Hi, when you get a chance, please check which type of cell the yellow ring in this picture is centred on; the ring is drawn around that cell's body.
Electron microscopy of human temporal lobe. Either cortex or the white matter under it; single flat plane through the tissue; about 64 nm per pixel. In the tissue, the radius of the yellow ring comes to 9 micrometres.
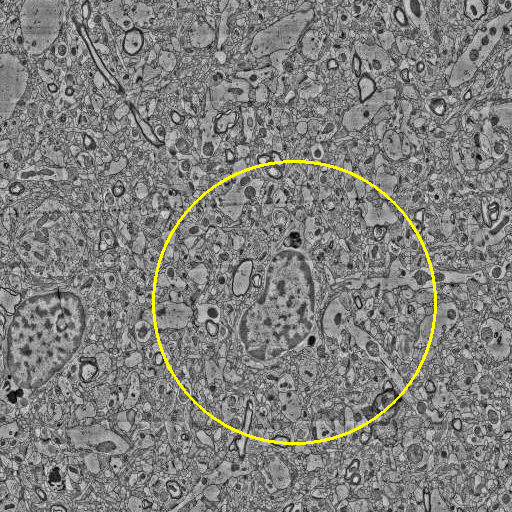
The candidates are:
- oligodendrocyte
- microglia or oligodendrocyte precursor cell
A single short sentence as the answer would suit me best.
The ring is drawn around the body of a microglial cell or oligodendrocyte precursor cell.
